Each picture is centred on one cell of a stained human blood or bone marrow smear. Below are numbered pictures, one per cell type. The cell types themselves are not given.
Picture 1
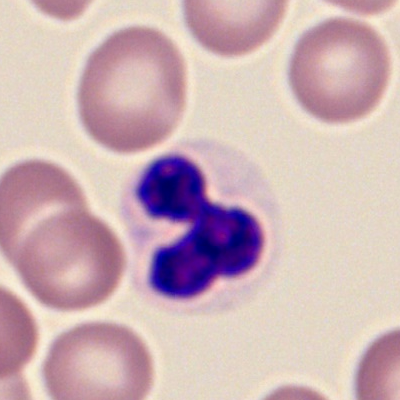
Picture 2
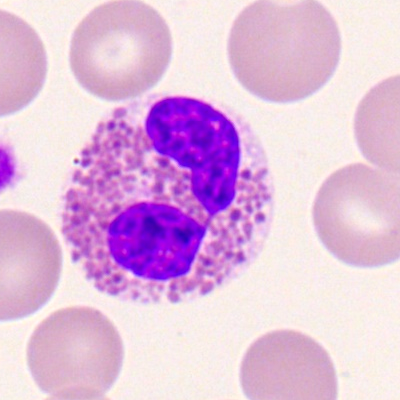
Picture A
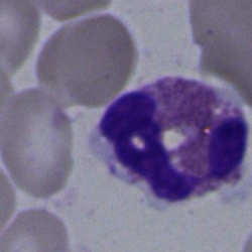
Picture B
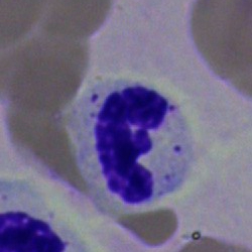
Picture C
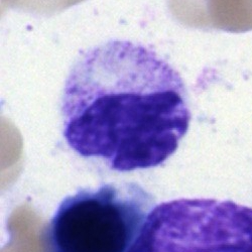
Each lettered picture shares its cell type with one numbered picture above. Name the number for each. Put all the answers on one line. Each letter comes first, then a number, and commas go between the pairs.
A 2, B 1, C 1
